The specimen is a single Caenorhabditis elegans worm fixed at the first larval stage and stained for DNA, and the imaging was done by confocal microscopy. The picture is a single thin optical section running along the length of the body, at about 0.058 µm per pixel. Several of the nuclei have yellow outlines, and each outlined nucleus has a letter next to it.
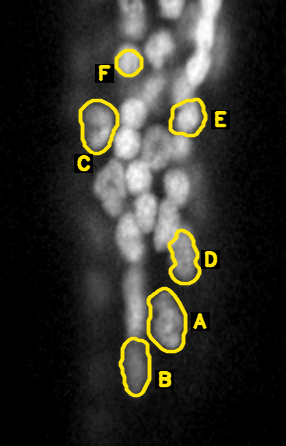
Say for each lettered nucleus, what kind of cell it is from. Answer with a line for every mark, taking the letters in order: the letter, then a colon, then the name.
A: hypodermal cell (hyp)
B: pharyngeal epithelial cell
C: body wall muscle cell
D: body wall muscle cell
E: hypodermal cell (hyp)
F: neuron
